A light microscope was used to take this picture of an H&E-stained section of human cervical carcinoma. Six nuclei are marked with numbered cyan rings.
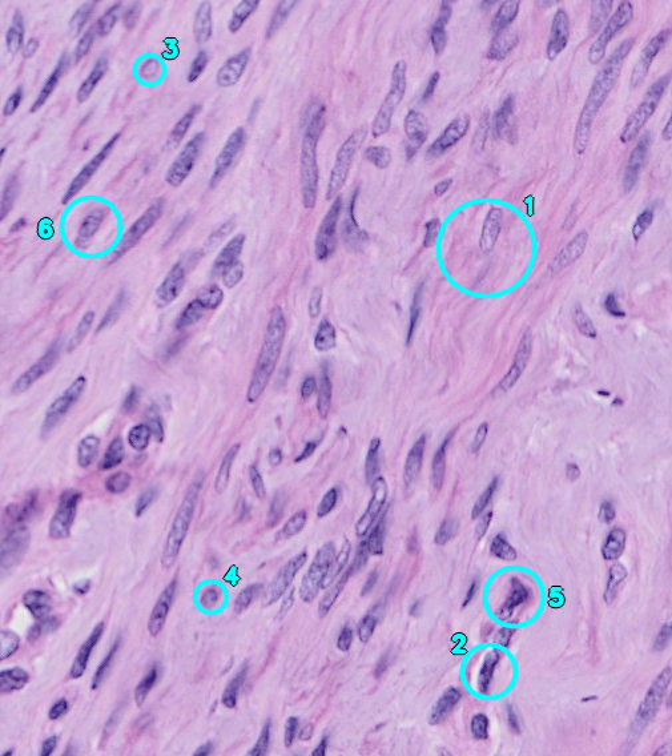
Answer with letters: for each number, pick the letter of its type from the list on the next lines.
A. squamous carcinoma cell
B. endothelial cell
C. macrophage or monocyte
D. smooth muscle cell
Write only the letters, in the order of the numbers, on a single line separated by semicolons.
D; B; D; D; B; D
